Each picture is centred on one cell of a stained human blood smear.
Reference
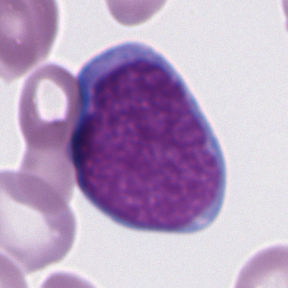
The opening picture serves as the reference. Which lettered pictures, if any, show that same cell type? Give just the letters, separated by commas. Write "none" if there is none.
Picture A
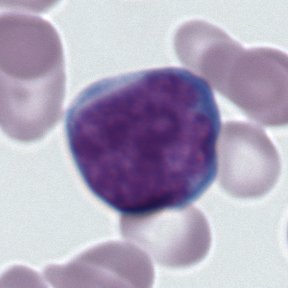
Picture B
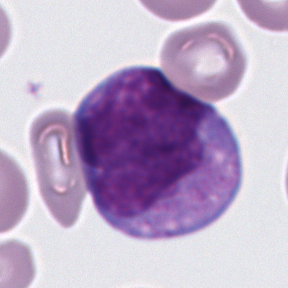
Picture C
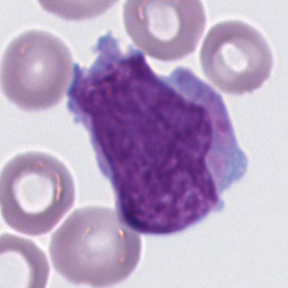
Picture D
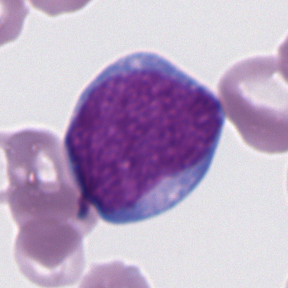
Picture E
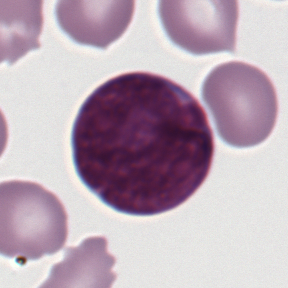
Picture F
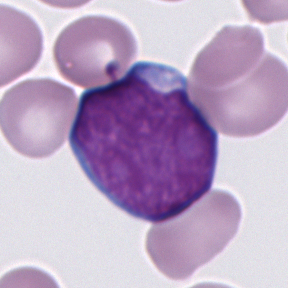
A, D, E, F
